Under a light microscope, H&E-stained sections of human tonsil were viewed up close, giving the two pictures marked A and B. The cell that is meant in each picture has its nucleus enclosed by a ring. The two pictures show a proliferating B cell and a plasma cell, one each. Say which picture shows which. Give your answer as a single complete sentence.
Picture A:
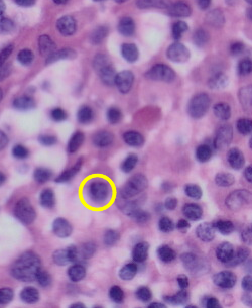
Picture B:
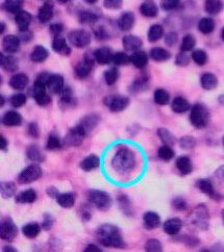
Picture B shows a proliferating B cell, while picture A shows a plasma cell.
